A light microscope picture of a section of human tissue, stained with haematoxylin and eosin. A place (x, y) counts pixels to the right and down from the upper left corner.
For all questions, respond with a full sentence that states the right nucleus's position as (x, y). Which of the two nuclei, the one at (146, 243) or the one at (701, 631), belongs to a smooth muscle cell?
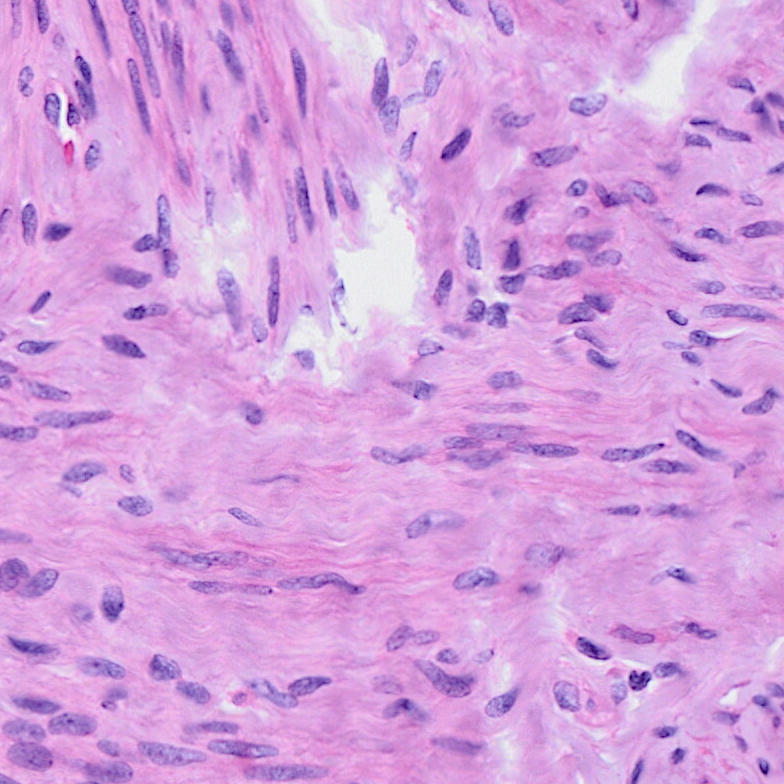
The nucleus at (701, 631), rather than the other, belongs to a smooth muscle cell.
